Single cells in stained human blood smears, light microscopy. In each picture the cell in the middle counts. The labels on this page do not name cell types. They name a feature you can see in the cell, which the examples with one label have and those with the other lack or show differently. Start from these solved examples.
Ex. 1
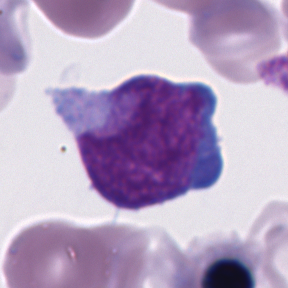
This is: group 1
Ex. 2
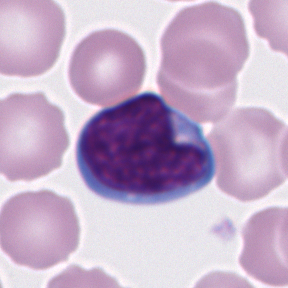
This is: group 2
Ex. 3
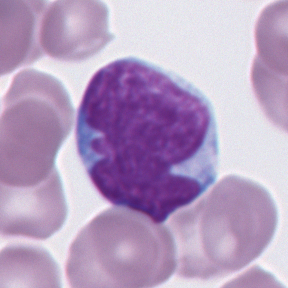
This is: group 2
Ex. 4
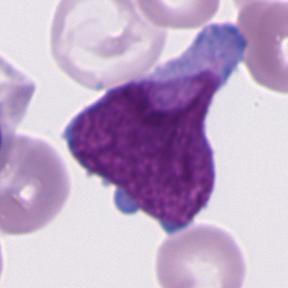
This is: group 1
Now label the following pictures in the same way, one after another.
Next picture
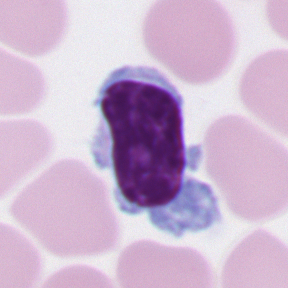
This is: group 1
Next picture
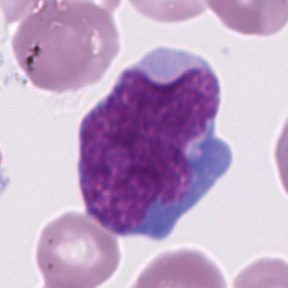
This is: group 1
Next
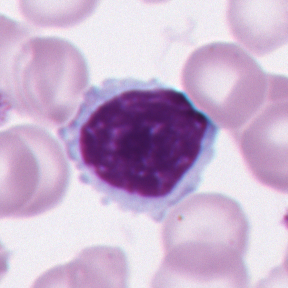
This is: group 1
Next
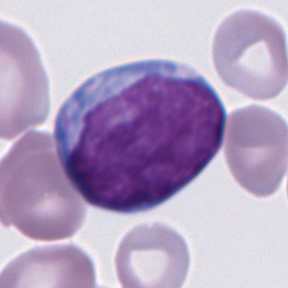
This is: group 2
